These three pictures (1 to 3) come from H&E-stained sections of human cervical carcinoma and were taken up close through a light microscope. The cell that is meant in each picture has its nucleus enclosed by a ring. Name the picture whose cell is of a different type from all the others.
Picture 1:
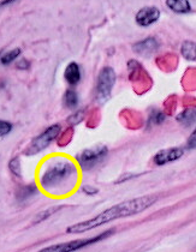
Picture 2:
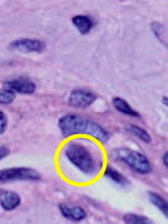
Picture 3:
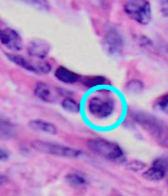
3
